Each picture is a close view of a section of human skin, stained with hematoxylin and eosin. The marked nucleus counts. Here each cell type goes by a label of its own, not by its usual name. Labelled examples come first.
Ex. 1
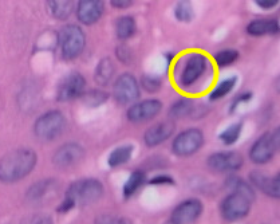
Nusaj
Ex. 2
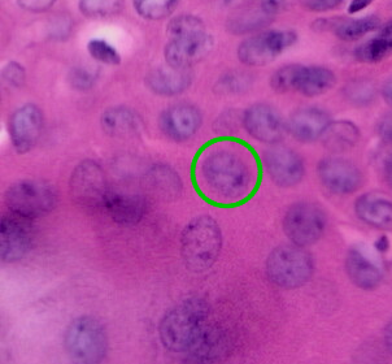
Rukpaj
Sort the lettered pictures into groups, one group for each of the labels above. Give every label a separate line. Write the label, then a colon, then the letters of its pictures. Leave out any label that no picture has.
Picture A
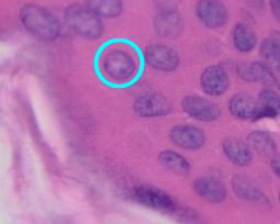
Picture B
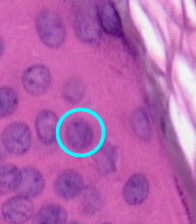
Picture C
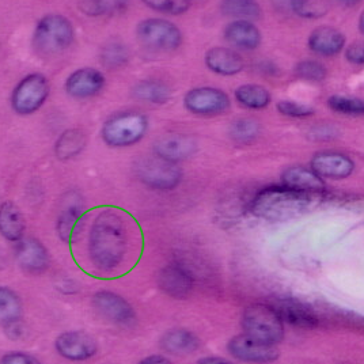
Rukpaj: A, B, C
